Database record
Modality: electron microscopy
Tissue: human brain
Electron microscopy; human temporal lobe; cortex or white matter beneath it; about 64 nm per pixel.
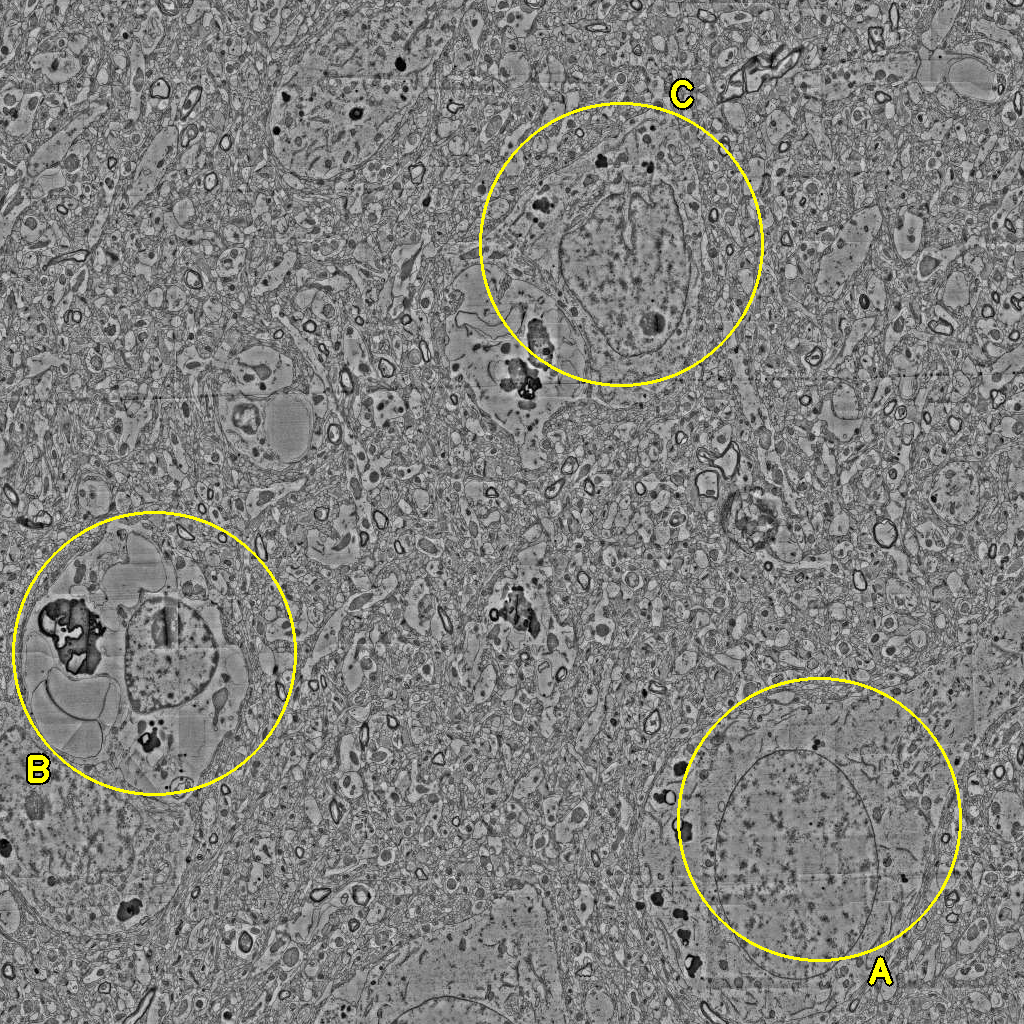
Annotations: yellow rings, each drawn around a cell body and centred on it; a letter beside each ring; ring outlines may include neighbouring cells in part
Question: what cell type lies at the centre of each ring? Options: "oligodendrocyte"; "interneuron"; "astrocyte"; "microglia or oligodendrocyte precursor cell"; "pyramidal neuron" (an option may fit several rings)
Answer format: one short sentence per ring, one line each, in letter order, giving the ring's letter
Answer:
Ring A corresponds to a pyramidal neuron.
Ring B corresponds to an astrocyte.
Ring C corresponds to an interneuron.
